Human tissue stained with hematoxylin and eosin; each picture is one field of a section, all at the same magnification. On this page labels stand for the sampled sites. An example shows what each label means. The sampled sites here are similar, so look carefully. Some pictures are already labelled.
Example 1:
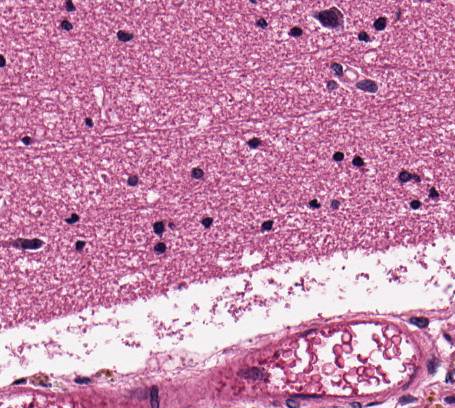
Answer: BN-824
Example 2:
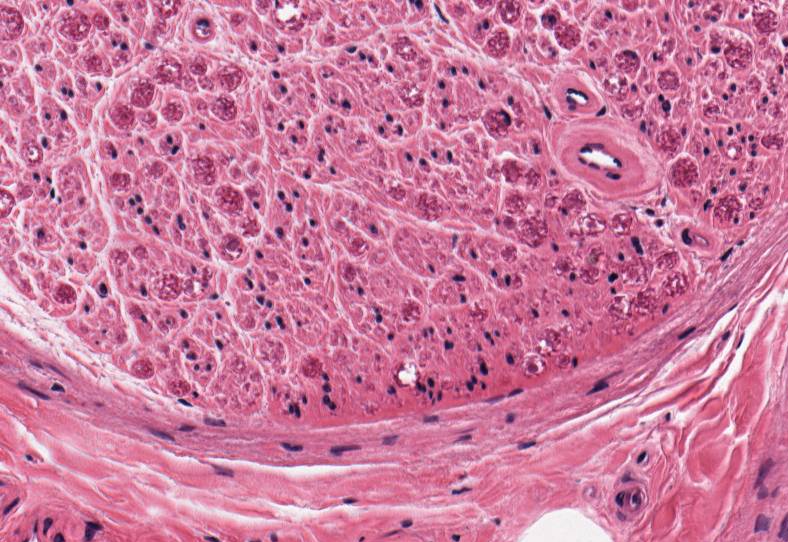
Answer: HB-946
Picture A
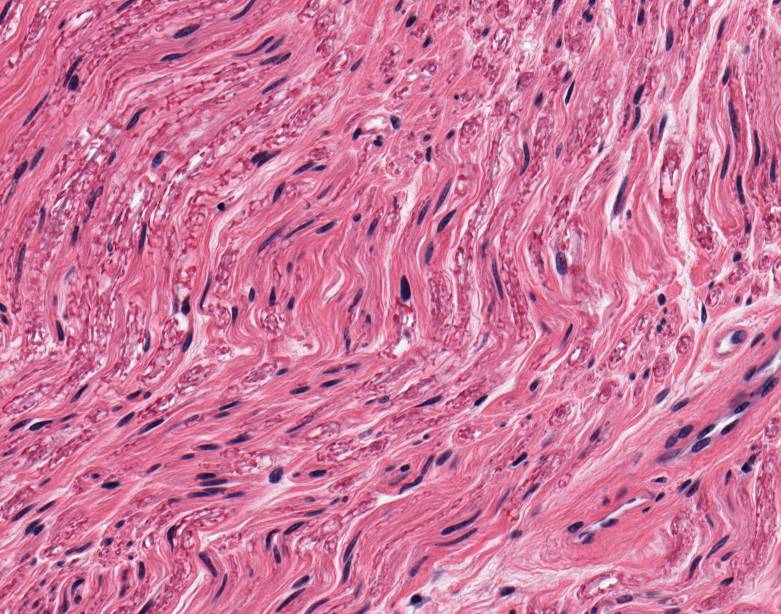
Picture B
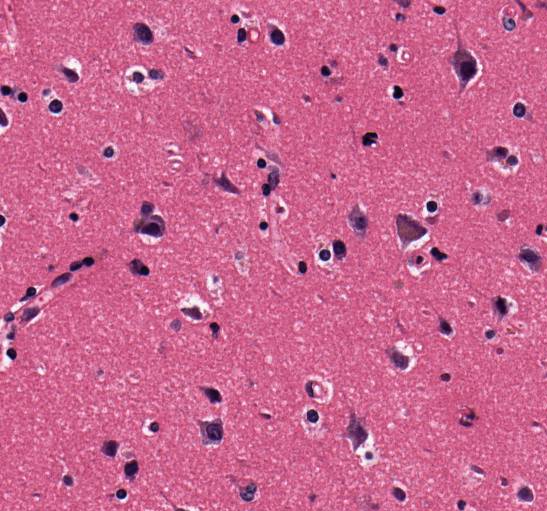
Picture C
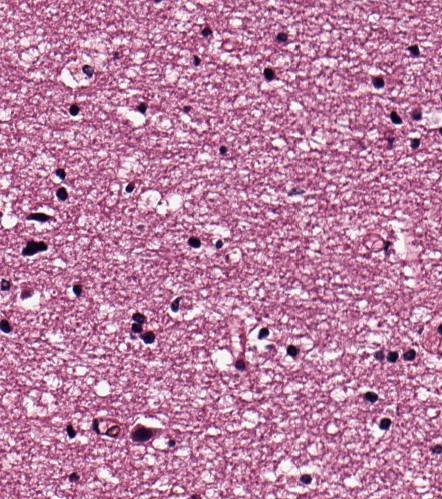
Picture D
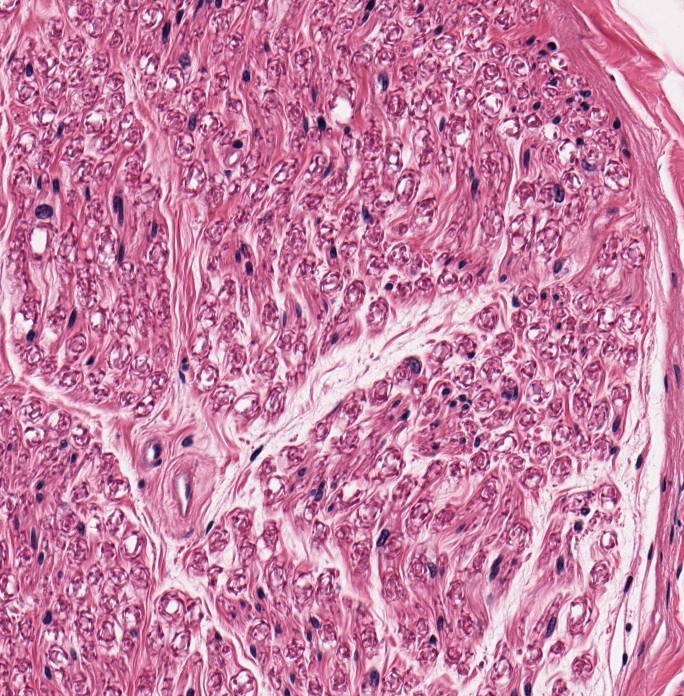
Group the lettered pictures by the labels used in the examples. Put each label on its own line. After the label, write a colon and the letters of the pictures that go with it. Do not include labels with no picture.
BN-824: B, C
HB-946: A, D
